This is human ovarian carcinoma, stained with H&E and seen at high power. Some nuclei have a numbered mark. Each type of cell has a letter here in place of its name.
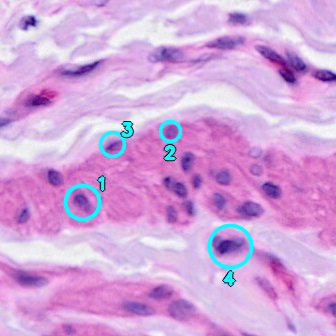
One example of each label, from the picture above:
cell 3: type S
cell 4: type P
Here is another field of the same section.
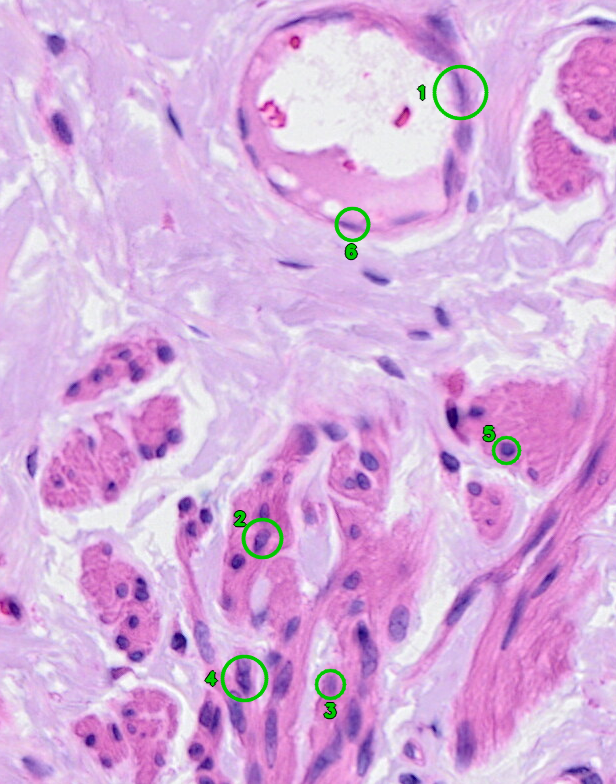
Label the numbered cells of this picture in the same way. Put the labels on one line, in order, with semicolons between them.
type P; type S; type S; type S; type S; type P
